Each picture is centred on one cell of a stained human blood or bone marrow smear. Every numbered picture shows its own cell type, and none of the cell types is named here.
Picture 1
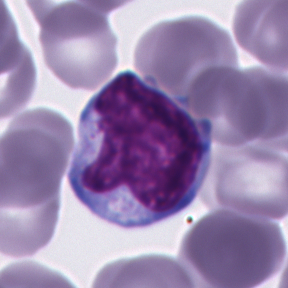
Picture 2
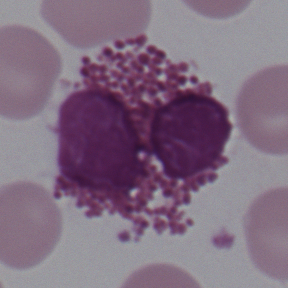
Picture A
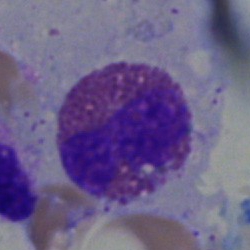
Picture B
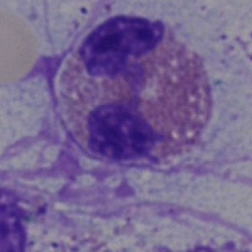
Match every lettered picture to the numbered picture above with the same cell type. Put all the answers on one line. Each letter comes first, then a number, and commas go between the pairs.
A 2, B 2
